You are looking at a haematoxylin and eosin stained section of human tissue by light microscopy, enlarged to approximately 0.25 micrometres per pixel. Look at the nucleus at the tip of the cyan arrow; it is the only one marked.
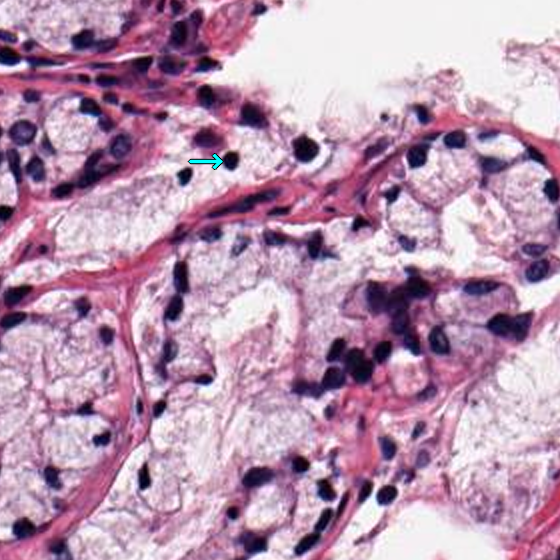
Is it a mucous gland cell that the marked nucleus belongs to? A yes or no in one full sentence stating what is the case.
No, the marked nucleus is not the nucleus of a mucous gland cell but of a supporting cell.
